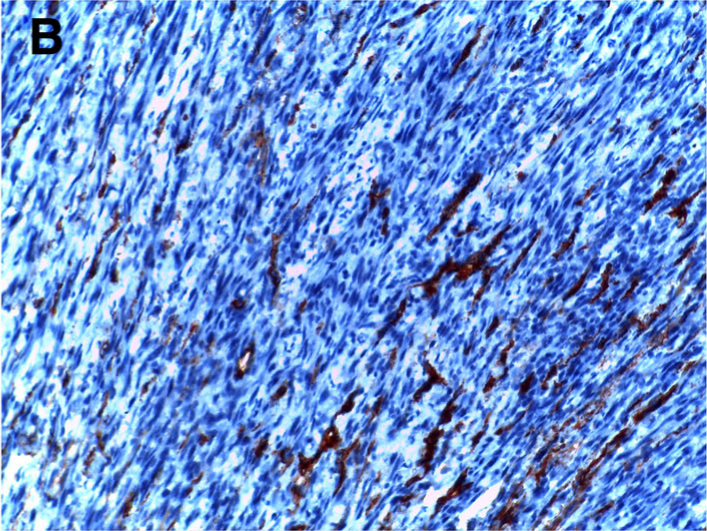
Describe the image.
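Elongated spindle cells with blue, cigar-shaped nuclei run in parallel streaming fascicles, and none of them takes up brown stain. Between them, thin brown strands and small brown-lined slits follow the same direction.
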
